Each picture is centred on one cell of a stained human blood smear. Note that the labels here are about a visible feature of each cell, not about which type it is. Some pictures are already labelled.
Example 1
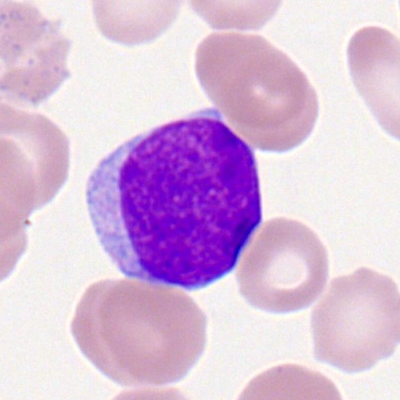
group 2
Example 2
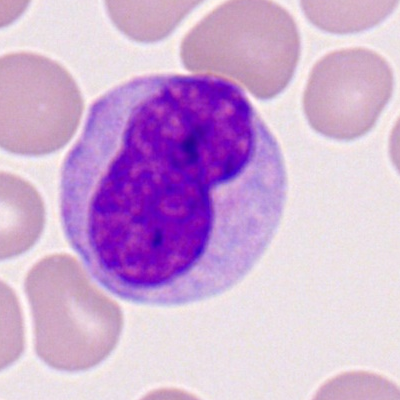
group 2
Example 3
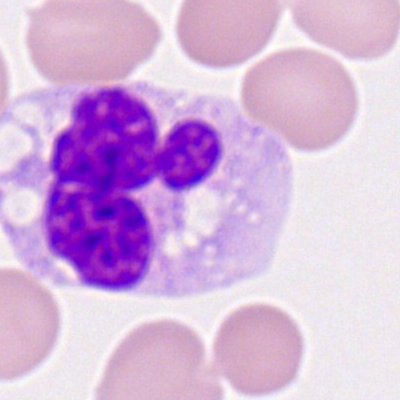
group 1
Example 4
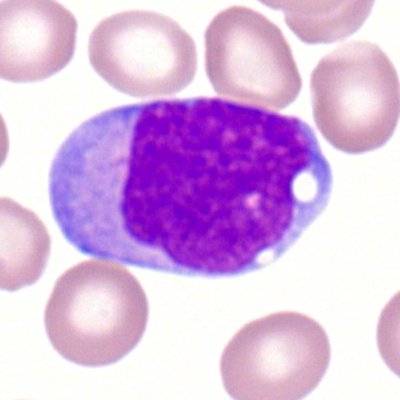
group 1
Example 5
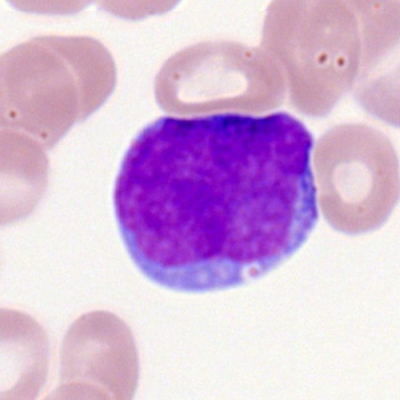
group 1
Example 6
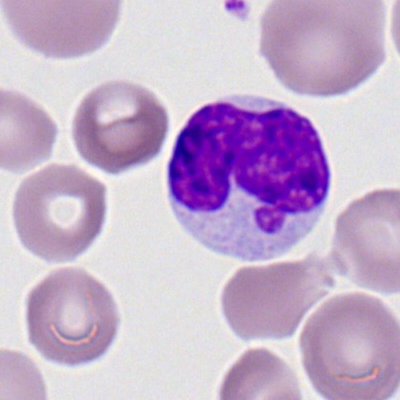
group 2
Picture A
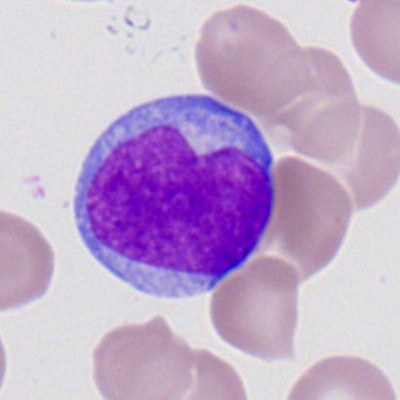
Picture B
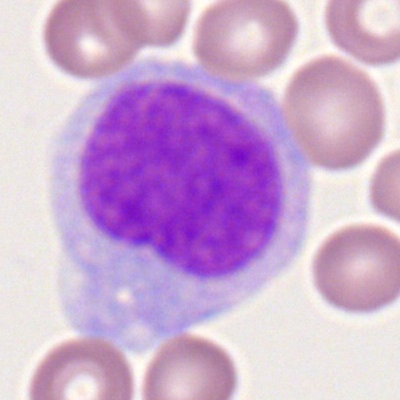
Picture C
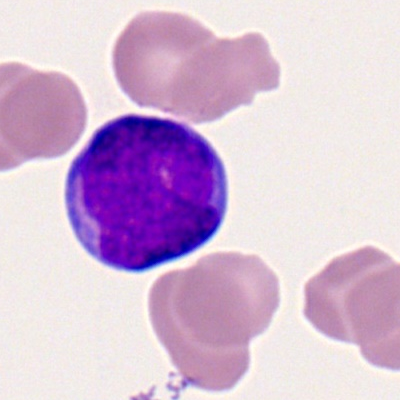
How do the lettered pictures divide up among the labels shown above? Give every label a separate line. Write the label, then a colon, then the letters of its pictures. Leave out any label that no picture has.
group 2: A, C
group 1: B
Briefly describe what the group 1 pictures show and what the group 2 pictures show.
In group 1: vacuoles present. In group 2: no vacuoles.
